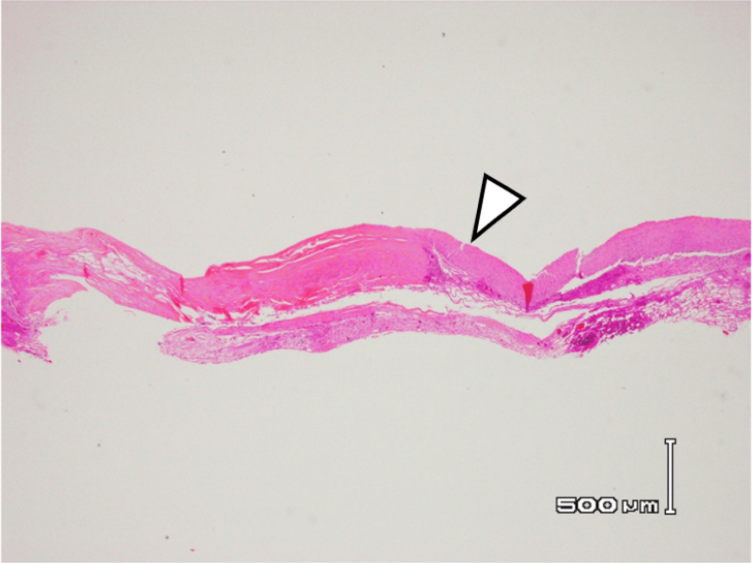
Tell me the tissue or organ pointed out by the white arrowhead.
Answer: fibrous tissue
